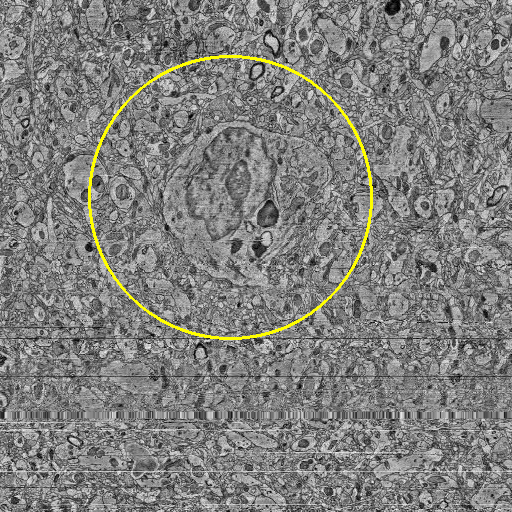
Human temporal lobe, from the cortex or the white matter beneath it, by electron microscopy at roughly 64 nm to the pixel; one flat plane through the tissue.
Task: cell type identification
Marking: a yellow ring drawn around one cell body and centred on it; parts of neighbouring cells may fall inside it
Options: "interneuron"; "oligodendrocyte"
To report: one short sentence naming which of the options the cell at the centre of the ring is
The cell at the centre of the ring is an interneuron.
